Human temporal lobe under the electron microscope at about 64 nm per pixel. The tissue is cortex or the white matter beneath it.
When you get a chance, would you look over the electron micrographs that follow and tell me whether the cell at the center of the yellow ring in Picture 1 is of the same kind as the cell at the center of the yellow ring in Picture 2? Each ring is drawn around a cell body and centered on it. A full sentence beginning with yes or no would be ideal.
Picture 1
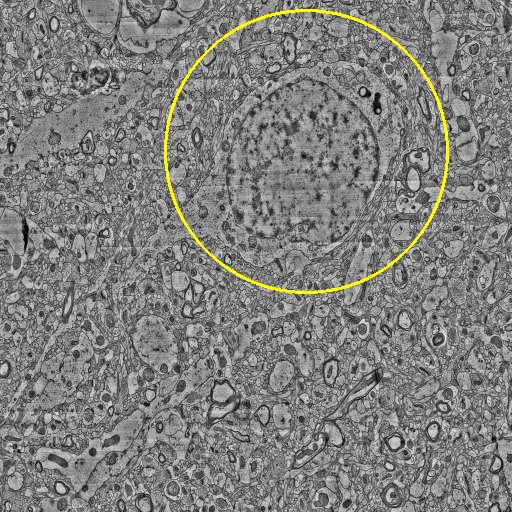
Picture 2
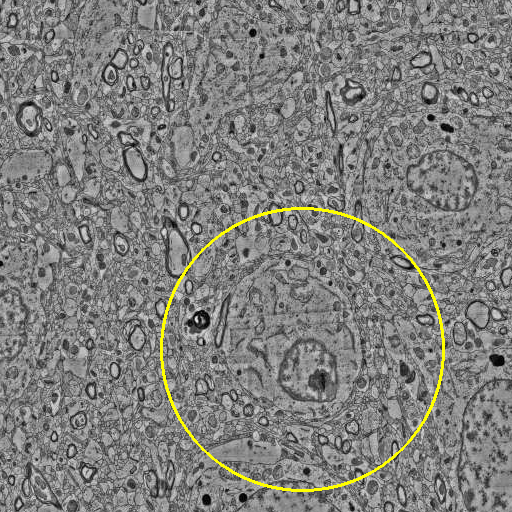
No, they are two kinds of cell.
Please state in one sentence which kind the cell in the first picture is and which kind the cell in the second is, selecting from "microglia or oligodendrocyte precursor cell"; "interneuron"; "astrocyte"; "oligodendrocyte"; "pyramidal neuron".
The first ringed cell is an interneuron, the second ringed cell a pyramidal neuron.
